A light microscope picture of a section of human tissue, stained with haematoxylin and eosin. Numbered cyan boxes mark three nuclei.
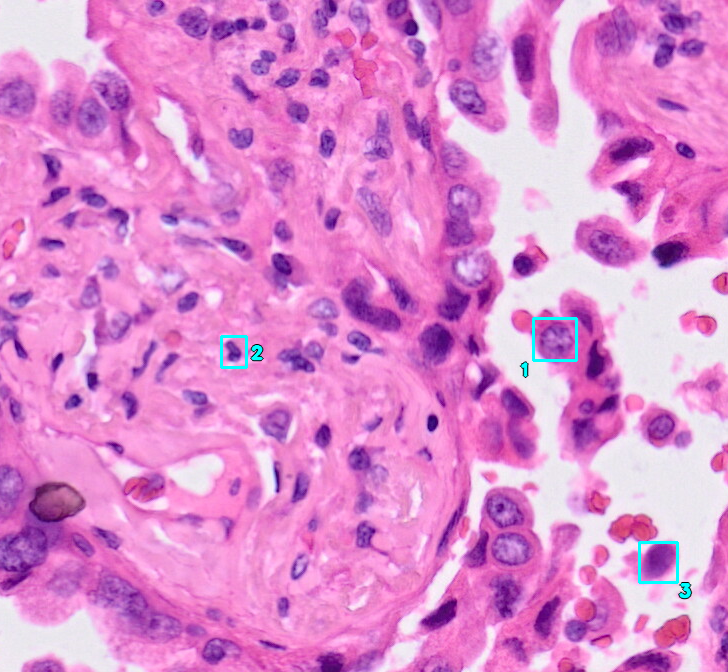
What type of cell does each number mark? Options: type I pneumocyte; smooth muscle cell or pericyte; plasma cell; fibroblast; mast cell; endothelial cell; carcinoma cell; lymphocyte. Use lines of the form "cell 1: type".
cell 1: carcinoma cell
cell 2: lymphocyte
cell 3: carcinoma cell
